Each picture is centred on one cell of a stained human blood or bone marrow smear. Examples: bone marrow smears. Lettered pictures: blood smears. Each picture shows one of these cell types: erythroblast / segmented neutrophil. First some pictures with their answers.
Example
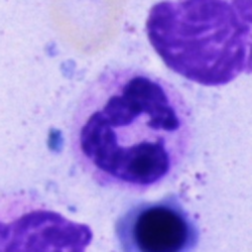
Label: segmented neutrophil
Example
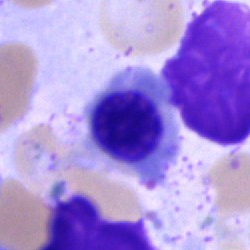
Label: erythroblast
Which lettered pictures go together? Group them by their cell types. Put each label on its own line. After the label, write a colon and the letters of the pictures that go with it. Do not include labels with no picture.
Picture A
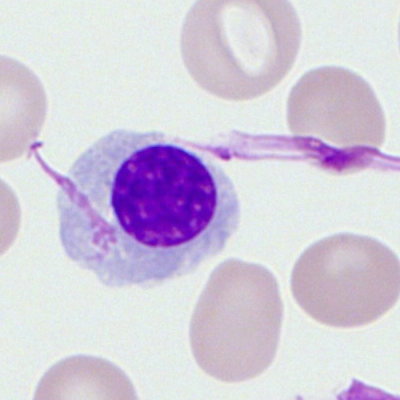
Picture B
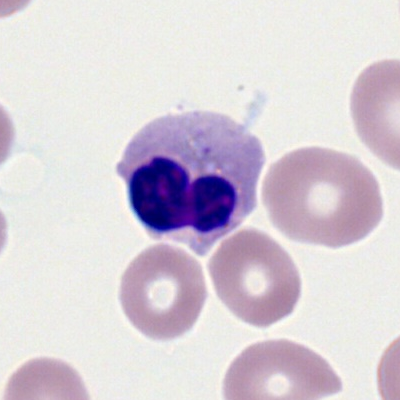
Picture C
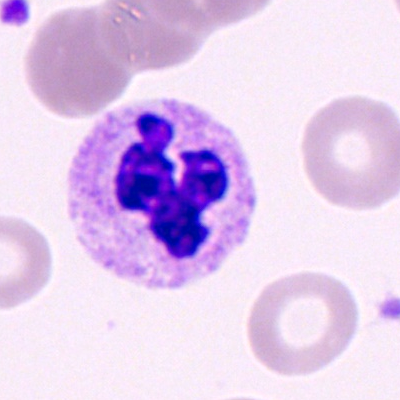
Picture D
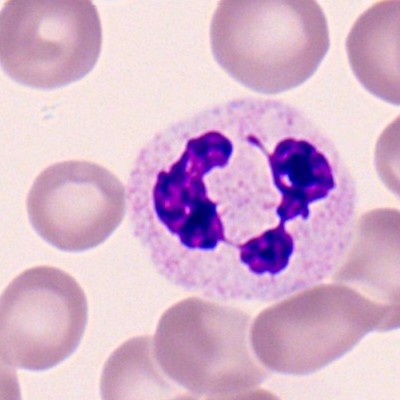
erythroblast: A, B
segmented neutrophil: C, D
